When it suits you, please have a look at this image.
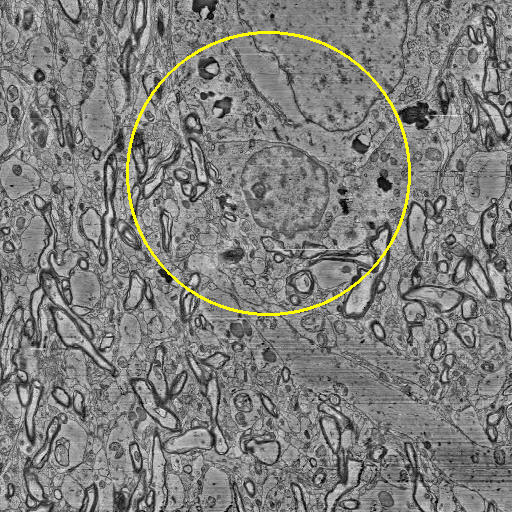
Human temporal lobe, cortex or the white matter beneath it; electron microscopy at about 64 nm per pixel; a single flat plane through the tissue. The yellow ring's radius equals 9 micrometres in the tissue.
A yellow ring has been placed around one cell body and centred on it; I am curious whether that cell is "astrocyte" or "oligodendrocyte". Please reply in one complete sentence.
The ringed cell, an oligodendrocyte, has its body at the centre of the yellow ring.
